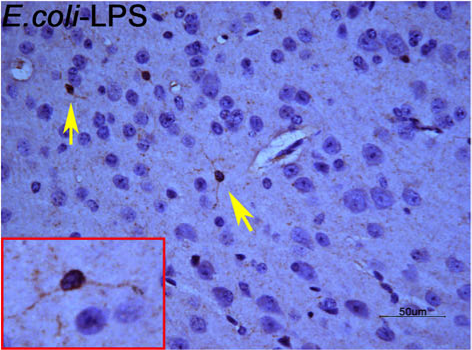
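The neurons have large round pale blue nuclei with distinct nucleoli and lie fairly evenly through the neuropil; a small blood vessel with an elongated lumen crosses the field. Fine brown granular staining is spread through the background. The inset enlarges one microglial cell, showing its compact dark body and slender, thread-like processes beside a blue neuronal nucleus.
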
